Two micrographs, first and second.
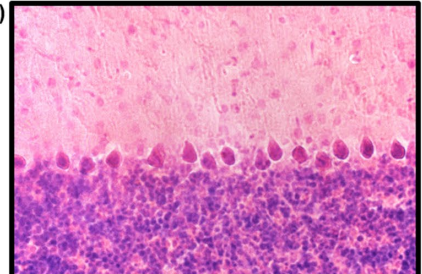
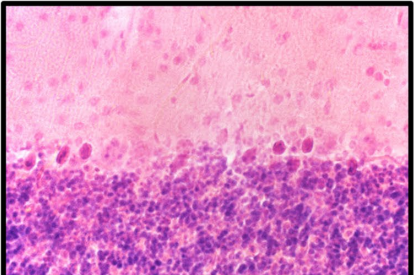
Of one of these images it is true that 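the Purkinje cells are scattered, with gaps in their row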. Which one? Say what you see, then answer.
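First image: large cell bodies form a closely spaced, continuous row along the layer border. Second image: fewer large cell bodies, with wide gaps between them along the border. The answer: the second image.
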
